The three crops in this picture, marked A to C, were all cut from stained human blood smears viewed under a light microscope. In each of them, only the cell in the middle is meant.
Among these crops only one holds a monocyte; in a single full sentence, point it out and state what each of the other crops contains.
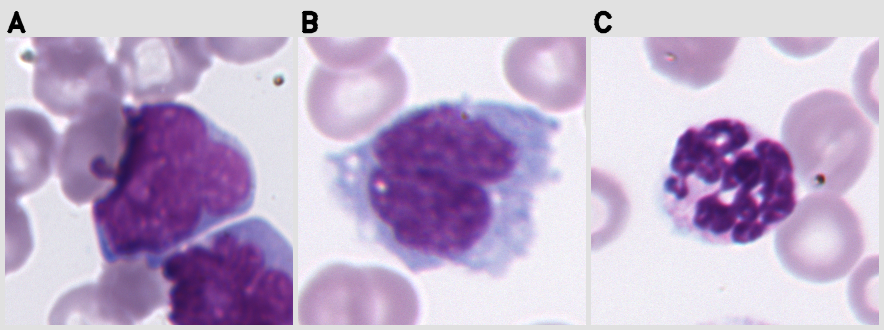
Crop B corresponds to a monocyte, while crop A is a myeloblast and crop C is a segmented neutrophil.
